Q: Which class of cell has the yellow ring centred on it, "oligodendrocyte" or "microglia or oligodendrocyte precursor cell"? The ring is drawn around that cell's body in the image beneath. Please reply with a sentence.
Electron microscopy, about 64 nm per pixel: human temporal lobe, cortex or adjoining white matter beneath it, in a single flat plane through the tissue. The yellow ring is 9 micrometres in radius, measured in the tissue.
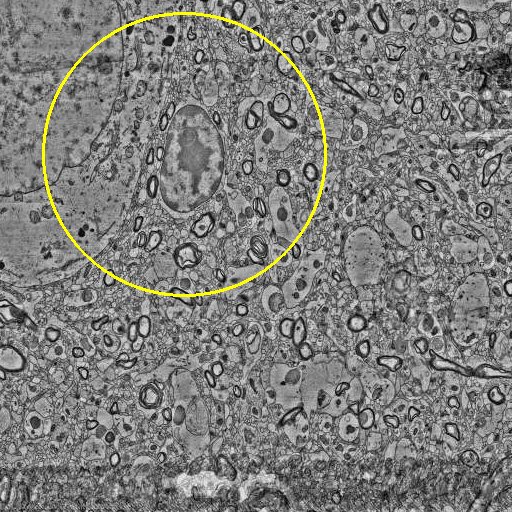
It is centred on a microglial cell or oligodendrocyte precursor cell.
